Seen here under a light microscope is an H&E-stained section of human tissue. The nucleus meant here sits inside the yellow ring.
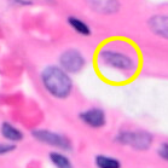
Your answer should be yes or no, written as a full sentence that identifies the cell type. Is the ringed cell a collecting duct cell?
Yes, no change needed: the ringed cell is a collecting duct cell.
